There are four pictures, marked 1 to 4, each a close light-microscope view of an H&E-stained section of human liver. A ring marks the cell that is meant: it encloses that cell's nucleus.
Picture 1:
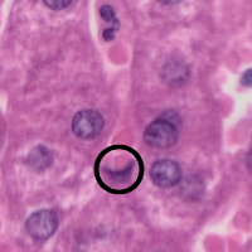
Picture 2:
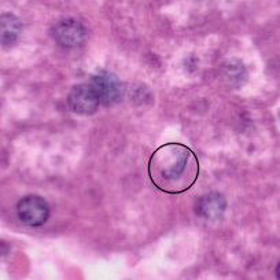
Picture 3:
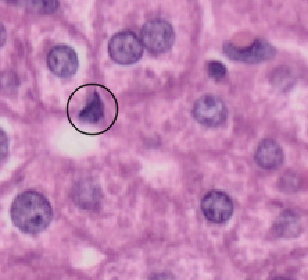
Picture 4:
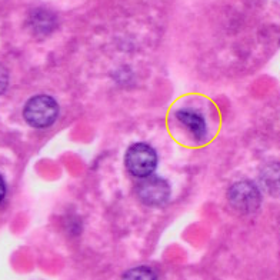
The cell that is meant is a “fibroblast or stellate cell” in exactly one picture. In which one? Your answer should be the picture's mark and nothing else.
3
